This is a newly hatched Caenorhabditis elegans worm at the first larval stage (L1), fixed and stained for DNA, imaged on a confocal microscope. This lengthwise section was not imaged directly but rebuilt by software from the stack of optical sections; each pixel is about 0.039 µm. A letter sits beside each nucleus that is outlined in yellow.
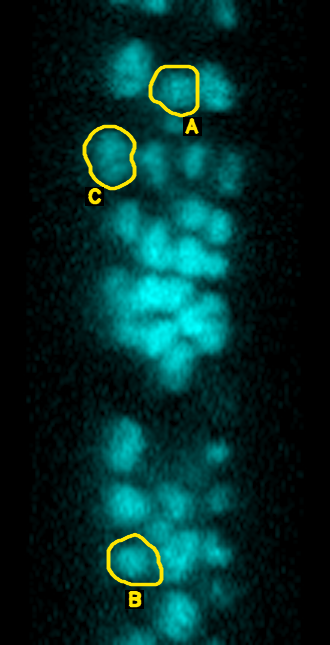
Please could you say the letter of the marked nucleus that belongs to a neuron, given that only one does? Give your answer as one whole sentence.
B is the one that belongs to a neuron.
